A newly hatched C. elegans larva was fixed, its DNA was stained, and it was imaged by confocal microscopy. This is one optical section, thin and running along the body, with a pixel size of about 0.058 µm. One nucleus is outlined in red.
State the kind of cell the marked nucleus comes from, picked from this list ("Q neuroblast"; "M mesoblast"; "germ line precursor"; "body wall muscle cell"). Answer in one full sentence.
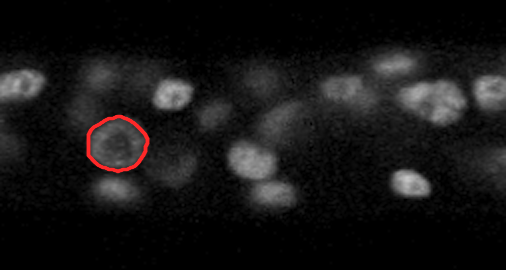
It belongs to an M mesoblast.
